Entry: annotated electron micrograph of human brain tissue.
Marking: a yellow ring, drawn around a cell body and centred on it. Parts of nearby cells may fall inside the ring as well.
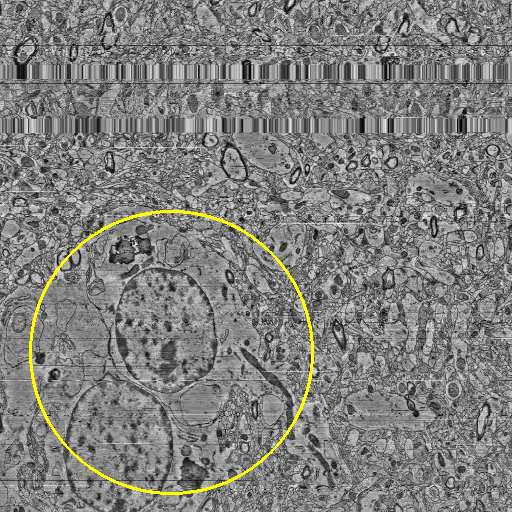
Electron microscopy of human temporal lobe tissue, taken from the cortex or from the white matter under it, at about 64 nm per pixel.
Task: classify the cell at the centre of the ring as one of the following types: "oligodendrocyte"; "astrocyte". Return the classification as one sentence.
The marked cell is classified as an astrocyte.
